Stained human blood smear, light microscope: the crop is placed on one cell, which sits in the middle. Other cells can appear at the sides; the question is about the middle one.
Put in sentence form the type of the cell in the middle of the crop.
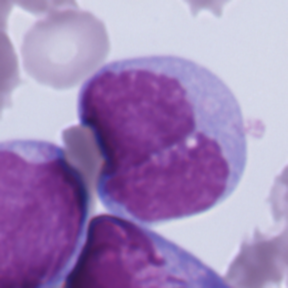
In this crop, the cell at the very middle is a blast.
